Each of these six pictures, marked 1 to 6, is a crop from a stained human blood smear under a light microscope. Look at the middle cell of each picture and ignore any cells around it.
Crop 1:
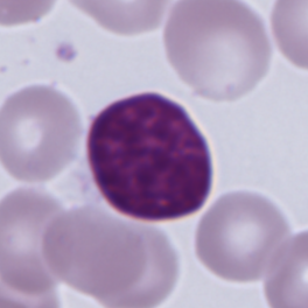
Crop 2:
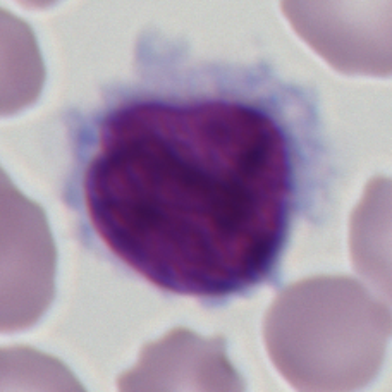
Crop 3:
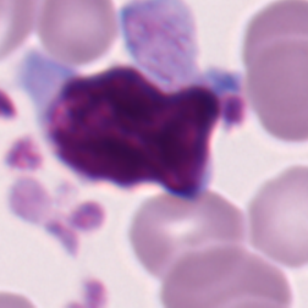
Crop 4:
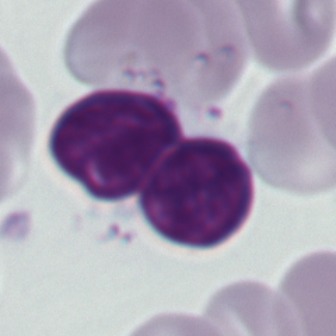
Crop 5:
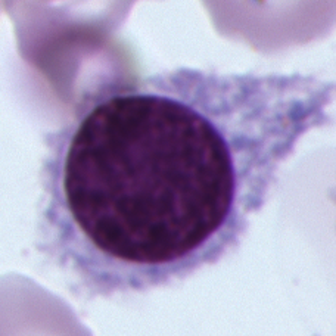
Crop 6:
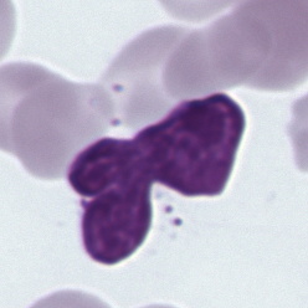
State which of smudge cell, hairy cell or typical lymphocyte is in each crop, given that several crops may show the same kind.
1: smudge cell
2: hairy cell
3: typical lymphocyte
4: smudge cell
5: hairy cell
6: smudge cell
